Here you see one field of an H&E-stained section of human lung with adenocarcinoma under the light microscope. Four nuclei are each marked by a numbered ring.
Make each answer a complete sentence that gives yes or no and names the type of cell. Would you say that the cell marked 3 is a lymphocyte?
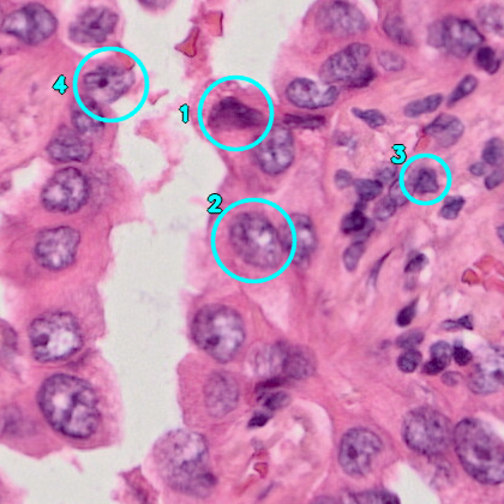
Yes, of the numbered cells, number 3 is a lymphocyte.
